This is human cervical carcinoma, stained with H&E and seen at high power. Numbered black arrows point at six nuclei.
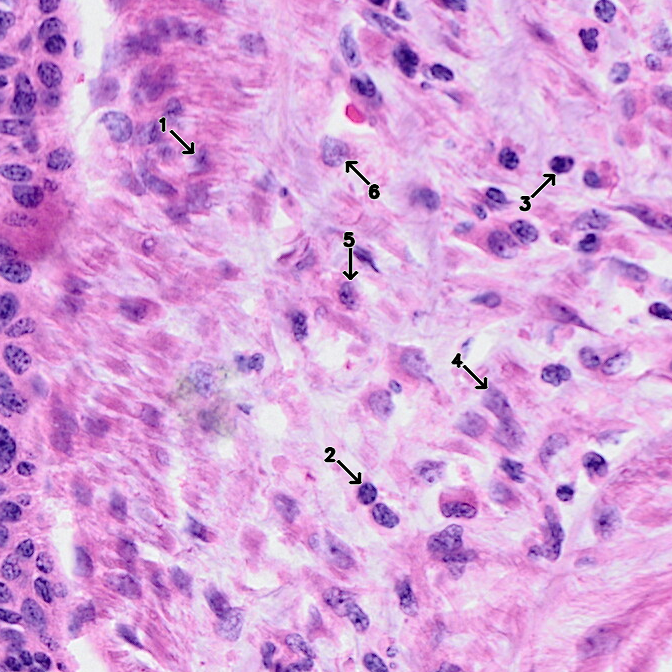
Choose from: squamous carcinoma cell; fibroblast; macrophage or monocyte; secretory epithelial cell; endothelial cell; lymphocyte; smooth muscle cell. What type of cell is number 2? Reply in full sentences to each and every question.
Here the cell numbered 2 is a lymphocyte.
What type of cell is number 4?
The nucleus marked 4 is the nucleus of a fibroblast.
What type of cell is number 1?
In this section, the cell tagged 1 is a fibroblast.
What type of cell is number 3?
The one numbered 3 among the marked cells is a lymphocyte.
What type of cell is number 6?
The cell pointed out by number 6 is an endothelial cell.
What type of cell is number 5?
The label 5 in this section denotes a macrophage or monocyte.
